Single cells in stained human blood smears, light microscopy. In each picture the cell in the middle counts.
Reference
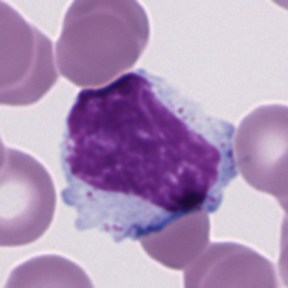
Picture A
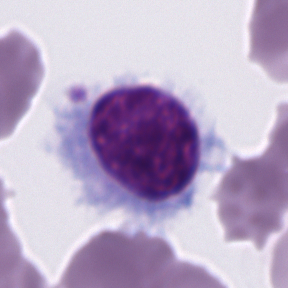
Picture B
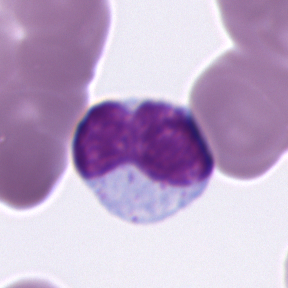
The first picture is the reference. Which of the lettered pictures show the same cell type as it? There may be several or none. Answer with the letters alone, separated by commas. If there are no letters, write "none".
B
